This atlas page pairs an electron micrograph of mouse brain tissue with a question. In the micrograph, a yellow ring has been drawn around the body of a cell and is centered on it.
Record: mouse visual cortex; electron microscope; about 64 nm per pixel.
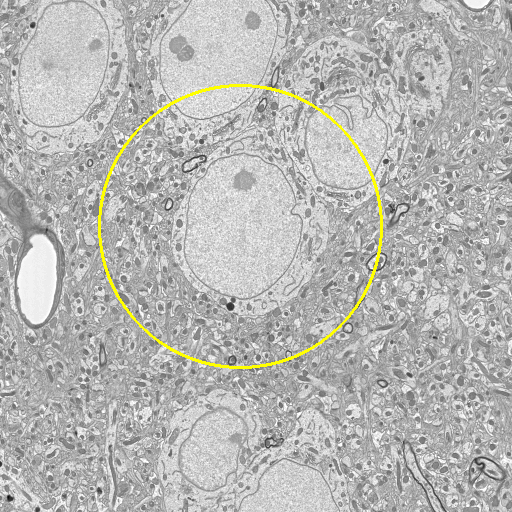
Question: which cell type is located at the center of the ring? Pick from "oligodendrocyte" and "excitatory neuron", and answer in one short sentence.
Located at the center of the ring is an excitatory neuron.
